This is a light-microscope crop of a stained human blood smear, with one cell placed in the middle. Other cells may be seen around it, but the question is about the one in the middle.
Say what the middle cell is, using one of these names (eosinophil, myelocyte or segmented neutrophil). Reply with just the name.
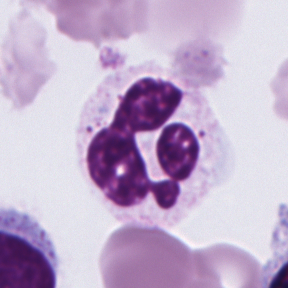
segmented neutrophil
